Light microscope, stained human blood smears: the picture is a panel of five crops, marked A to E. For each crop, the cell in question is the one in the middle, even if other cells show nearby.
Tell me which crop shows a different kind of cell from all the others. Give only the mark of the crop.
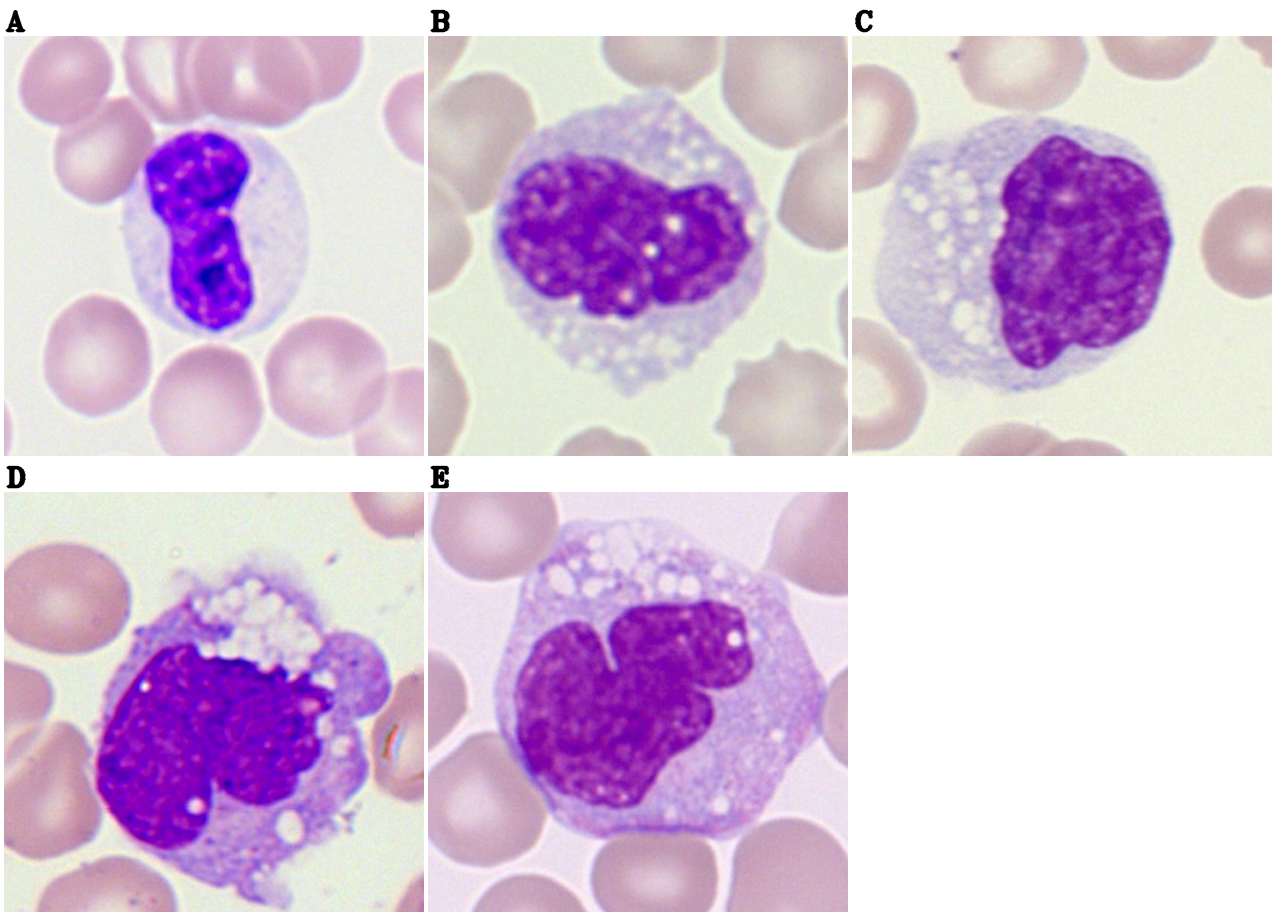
A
